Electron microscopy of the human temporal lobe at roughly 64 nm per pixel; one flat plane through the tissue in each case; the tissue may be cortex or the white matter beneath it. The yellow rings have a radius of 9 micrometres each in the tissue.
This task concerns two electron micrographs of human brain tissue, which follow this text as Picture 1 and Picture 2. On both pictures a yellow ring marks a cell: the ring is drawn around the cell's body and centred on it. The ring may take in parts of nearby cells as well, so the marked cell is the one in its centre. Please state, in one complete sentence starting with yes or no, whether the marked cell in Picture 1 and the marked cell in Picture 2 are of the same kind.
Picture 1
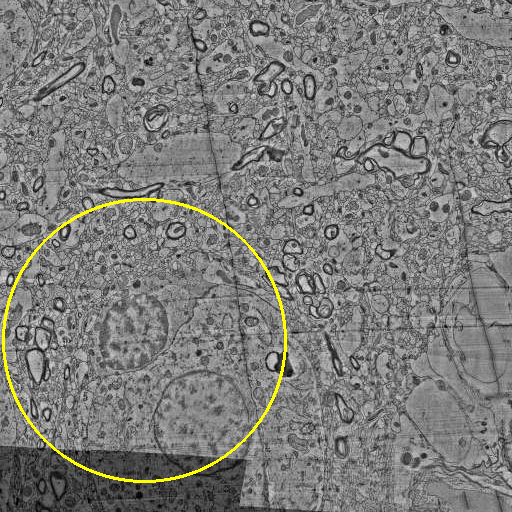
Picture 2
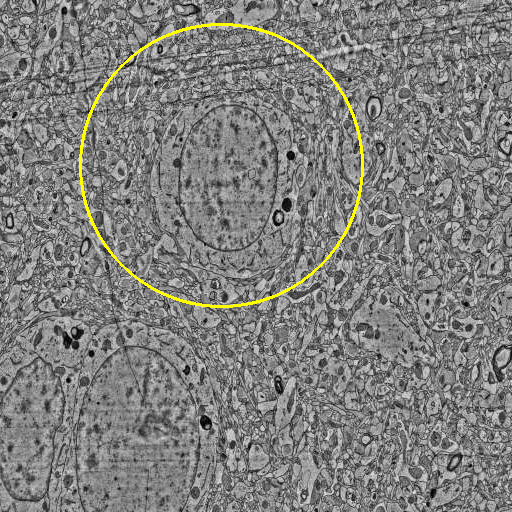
No, the marked cells in the two pictures are of two kinds.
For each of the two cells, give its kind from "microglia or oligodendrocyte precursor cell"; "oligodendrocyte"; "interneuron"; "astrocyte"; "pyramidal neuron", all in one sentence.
The first picture has an oligodendrocyte in its ring, the second has a pyramidal neuron.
